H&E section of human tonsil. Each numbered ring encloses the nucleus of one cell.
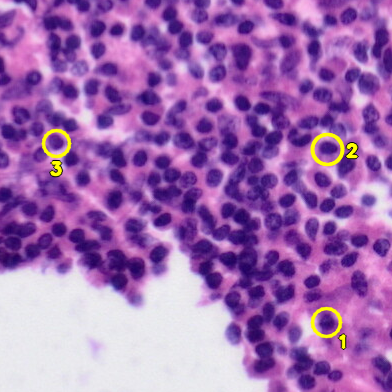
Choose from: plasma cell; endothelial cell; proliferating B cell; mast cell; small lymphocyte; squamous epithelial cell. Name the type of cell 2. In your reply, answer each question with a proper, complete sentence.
In this section, number 2 marks a plasma cell.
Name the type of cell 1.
The cell with the number 1 is a plasma cell.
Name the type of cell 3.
The cell tagged with 3 in this tissue section is a small lymphocyte.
